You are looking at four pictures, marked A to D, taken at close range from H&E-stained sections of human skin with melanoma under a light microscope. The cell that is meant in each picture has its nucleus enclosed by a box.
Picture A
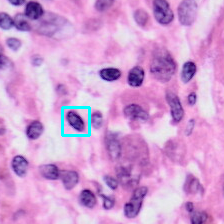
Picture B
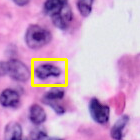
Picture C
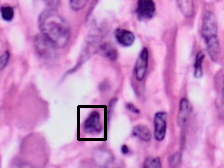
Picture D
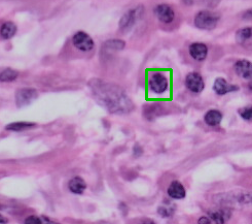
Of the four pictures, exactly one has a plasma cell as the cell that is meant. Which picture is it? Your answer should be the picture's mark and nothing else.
D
